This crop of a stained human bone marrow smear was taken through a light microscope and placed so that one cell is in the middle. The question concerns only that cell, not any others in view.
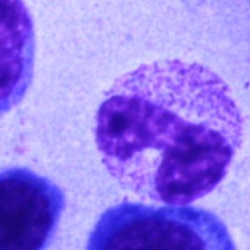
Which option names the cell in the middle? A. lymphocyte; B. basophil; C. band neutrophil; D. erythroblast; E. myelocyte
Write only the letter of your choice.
C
